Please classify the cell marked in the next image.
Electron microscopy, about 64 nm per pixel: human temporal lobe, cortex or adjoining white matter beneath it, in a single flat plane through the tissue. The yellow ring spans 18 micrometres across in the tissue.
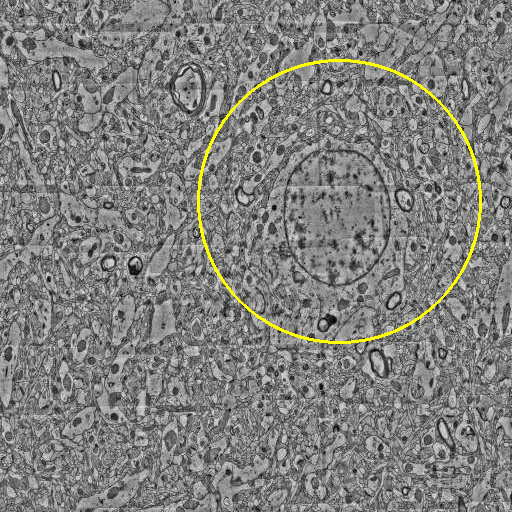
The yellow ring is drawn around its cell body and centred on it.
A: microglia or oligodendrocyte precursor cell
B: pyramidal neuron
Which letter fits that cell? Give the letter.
B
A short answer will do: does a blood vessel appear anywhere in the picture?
No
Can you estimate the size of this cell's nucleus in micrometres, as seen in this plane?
About 9 by 7 micrometres in this plane.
